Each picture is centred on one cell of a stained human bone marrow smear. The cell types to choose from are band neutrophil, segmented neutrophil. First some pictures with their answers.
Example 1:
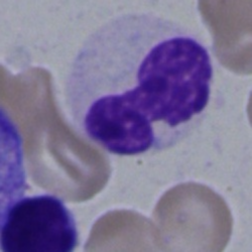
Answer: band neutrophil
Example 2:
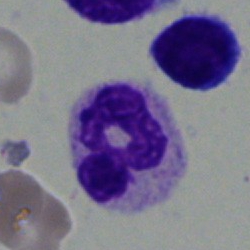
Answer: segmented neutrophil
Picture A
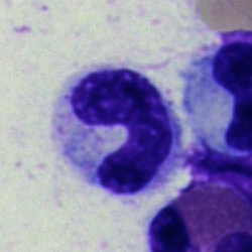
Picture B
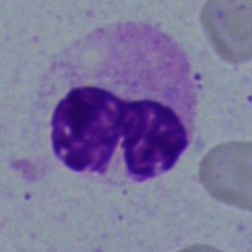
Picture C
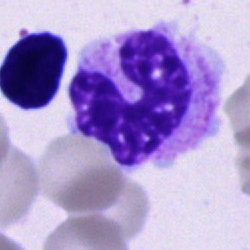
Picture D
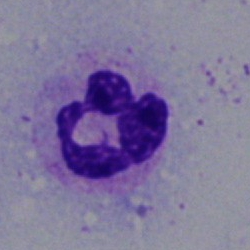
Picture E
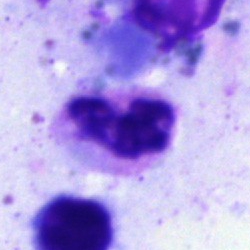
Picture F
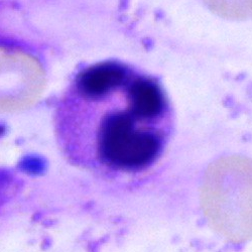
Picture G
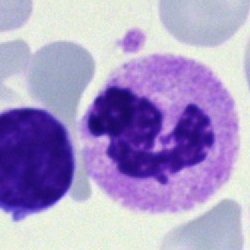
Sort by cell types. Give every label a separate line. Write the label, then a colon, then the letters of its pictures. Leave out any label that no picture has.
band neutrophil: A, C
segmented neutrophil: B, D, E, F, G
